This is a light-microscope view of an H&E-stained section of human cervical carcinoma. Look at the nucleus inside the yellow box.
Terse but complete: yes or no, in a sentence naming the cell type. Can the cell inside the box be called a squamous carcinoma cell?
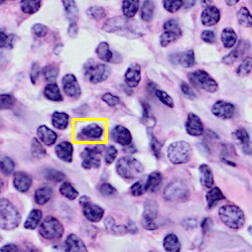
No, the cell inside the box is classed as a lymphocyte, not as a squamous carcinoma cell.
